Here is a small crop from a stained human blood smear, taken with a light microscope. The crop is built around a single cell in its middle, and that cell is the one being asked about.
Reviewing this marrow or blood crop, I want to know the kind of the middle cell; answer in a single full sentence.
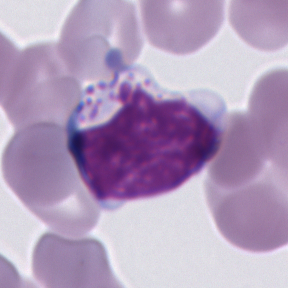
The cell at the heart of this crop is a large granular lymphocyte.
